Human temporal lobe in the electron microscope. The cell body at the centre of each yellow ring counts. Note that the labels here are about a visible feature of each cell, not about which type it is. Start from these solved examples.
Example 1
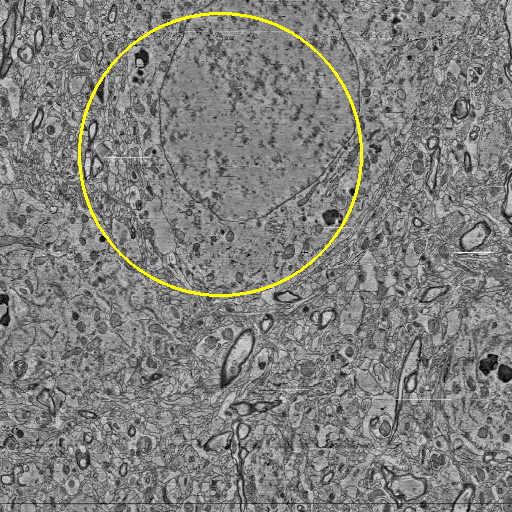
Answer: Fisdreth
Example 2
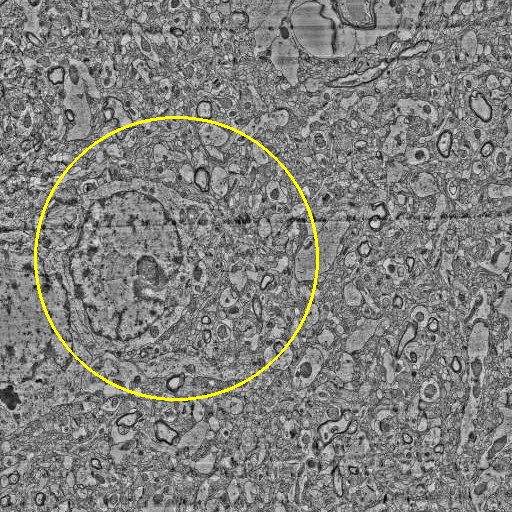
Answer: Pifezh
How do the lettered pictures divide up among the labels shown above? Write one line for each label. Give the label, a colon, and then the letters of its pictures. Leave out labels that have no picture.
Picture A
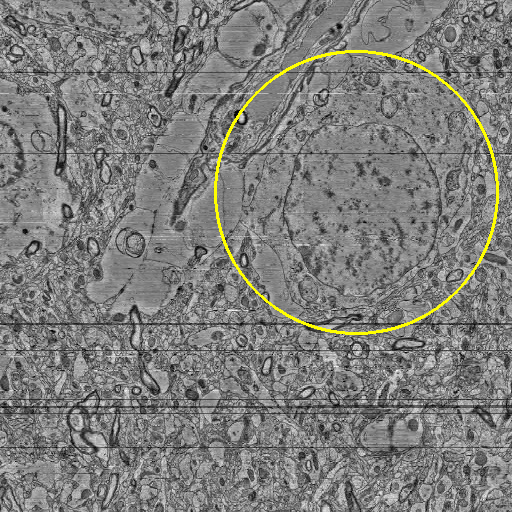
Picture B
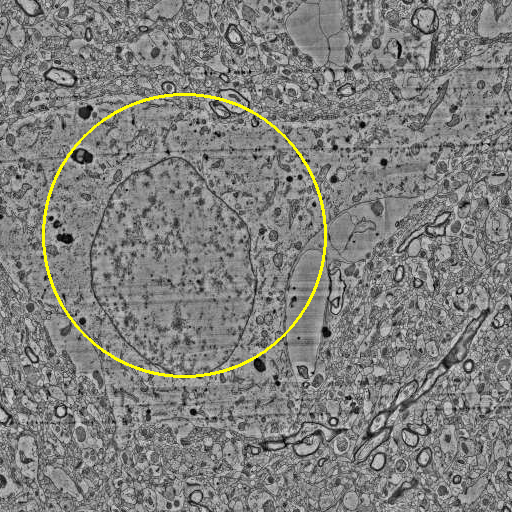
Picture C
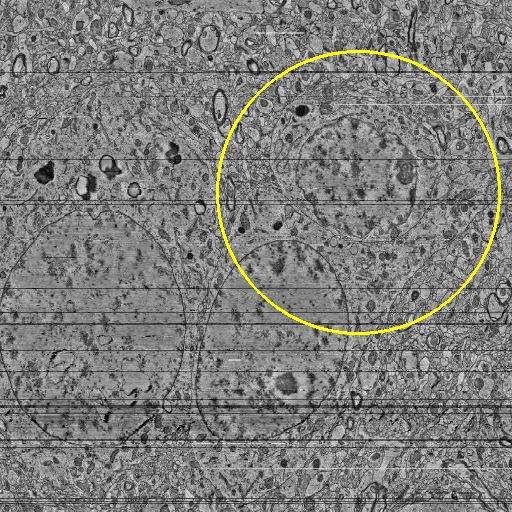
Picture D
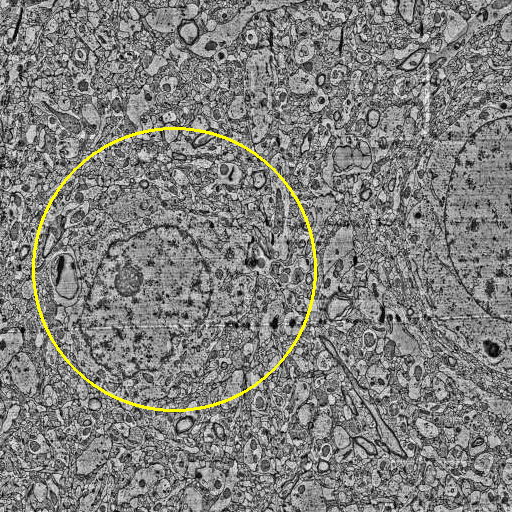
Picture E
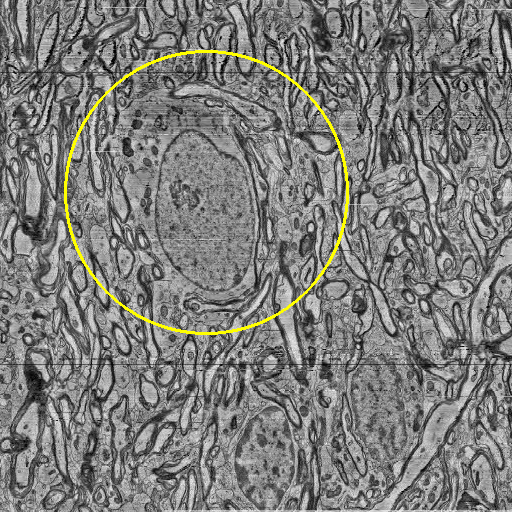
Fisdreth: A, B
Pifezh: C, D, E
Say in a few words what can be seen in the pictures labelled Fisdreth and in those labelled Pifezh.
Seen in Fisdreth: no nucleolus seen; seen in Pifezh: nucleolus seen.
